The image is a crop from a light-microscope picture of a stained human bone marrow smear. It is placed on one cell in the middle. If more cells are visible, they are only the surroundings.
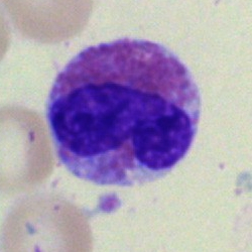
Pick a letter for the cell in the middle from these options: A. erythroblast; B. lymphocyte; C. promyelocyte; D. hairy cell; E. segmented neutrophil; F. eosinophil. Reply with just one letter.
F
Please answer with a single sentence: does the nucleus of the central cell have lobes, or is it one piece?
Its nucleus is compact and single, with a round, oval or kidney-shaped form.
